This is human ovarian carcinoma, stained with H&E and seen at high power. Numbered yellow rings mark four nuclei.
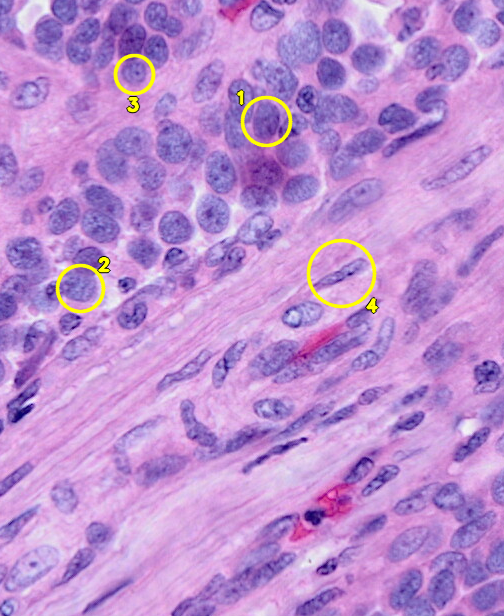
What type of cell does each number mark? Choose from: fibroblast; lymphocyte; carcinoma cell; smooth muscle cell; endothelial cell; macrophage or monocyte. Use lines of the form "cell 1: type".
cell 1: carcinoma cell
cell 2: carcinoma cell
cell 3: carcinoma cell
cell 4: fibroblast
